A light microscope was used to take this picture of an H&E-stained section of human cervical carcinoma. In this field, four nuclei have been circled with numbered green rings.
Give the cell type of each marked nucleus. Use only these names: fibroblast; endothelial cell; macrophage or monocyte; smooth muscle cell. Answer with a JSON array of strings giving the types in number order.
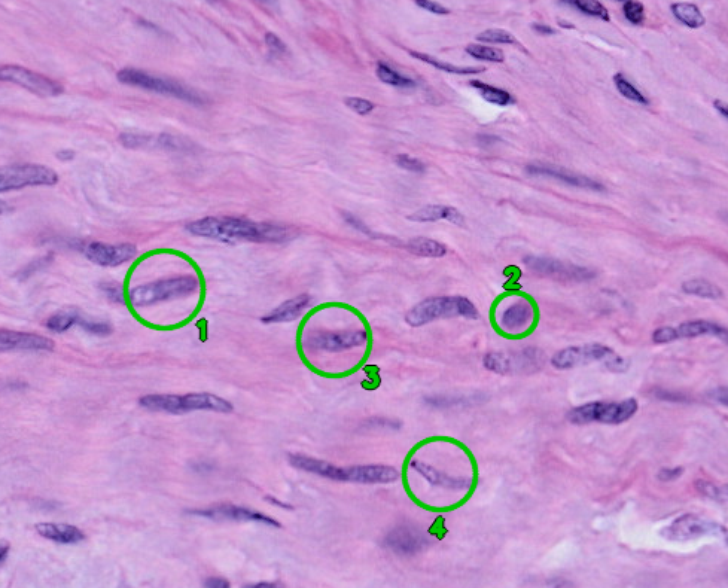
["smooth muscle cell", "smooth muscle cell", "smooth muscle cell", "fibroblast"]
